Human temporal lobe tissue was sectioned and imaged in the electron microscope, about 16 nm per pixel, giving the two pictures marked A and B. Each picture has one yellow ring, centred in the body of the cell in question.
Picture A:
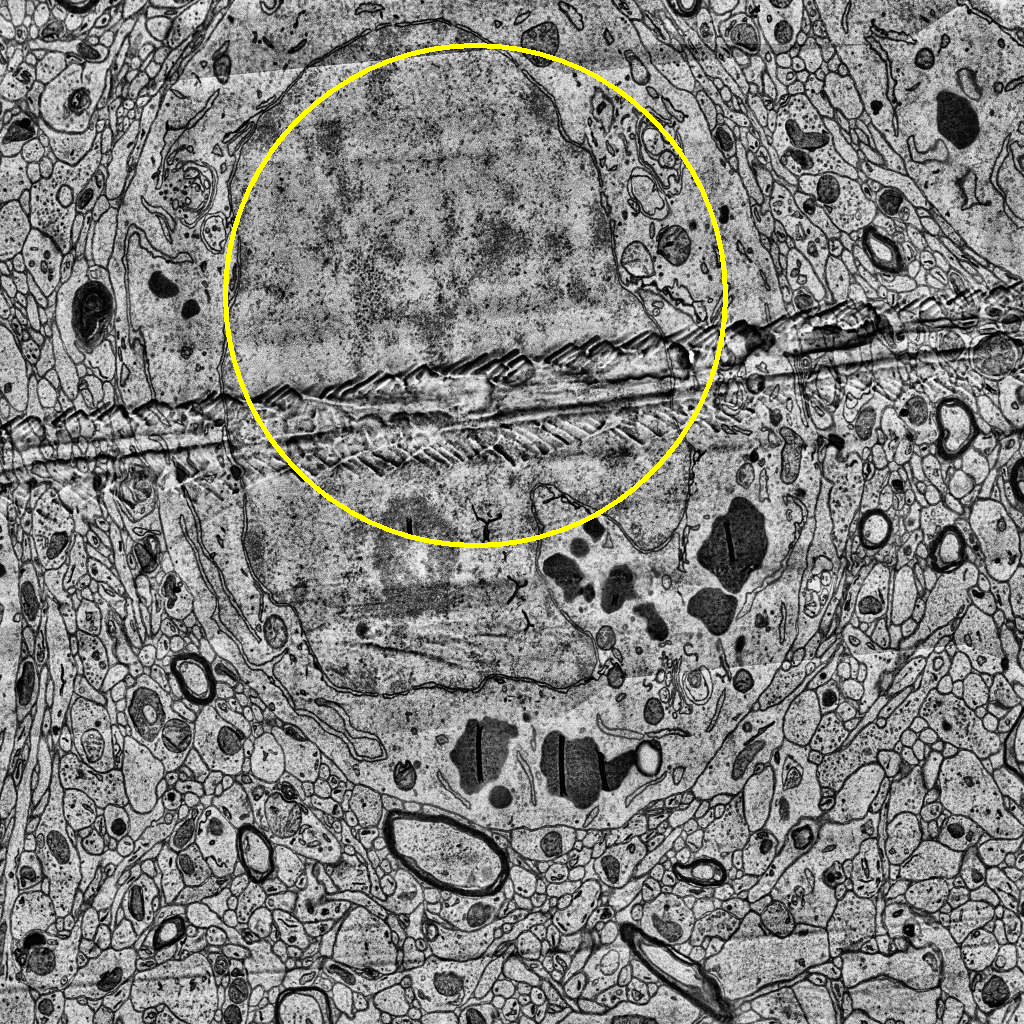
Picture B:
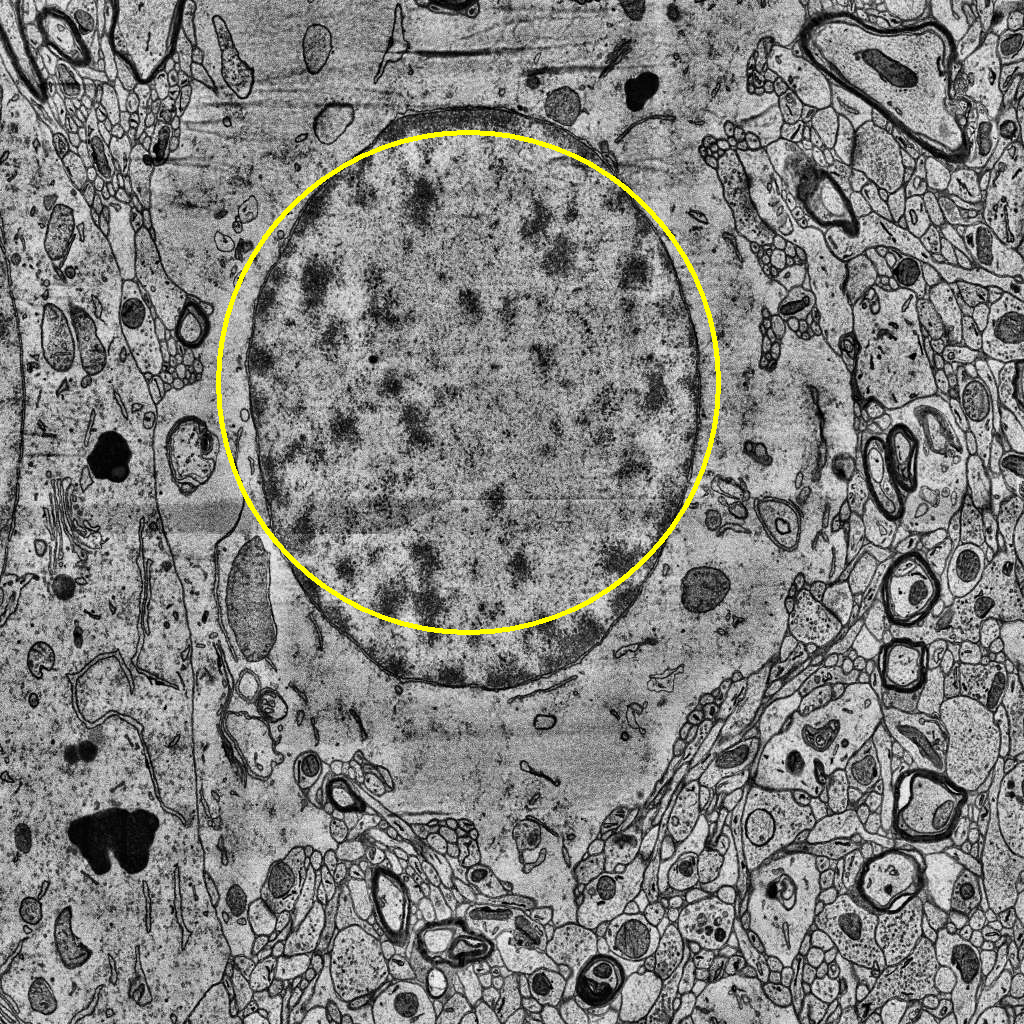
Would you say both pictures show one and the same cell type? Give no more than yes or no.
no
